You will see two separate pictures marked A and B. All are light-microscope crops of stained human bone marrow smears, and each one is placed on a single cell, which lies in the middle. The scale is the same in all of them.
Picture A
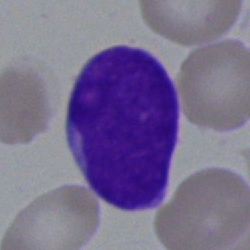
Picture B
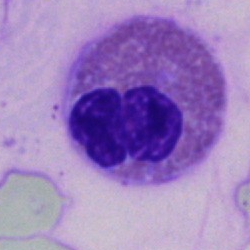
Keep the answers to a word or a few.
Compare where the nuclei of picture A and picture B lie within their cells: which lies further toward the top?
A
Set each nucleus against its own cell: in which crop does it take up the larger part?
A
